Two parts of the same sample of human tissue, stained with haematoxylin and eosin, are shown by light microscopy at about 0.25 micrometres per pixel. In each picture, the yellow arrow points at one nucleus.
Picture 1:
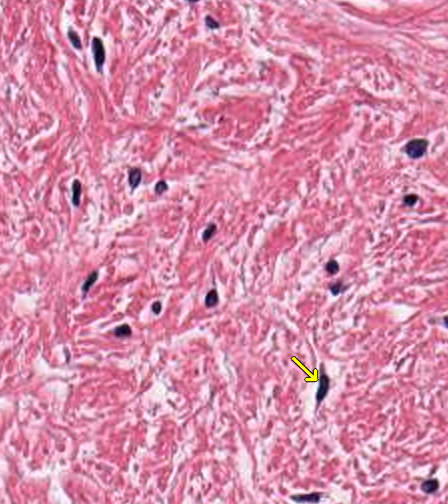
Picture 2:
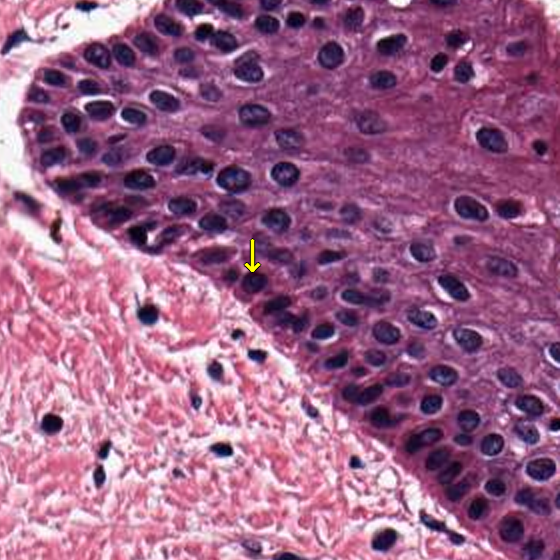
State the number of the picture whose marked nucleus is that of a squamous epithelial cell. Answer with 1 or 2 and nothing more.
2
